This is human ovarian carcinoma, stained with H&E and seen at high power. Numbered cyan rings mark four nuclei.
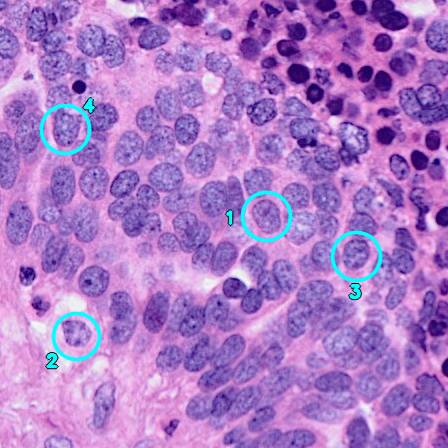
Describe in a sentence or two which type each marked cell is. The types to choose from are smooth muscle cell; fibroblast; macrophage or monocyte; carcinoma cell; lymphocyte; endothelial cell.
Cells 1, 3 and 4 are carcinoma cells. Cell 2 is a macrophage or monocyte.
